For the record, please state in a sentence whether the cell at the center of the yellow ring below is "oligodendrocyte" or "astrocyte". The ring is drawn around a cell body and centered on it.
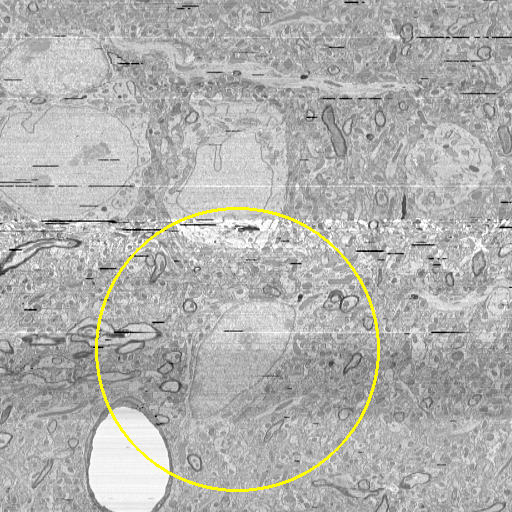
The cell at the ring's center is an astrocyte.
